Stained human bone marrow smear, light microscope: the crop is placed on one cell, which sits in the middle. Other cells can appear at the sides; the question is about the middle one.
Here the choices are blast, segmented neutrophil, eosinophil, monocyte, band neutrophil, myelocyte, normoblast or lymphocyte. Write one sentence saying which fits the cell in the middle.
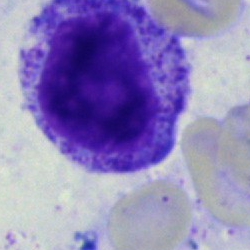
The cell featured at the centre of this crop is a myelocyte.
